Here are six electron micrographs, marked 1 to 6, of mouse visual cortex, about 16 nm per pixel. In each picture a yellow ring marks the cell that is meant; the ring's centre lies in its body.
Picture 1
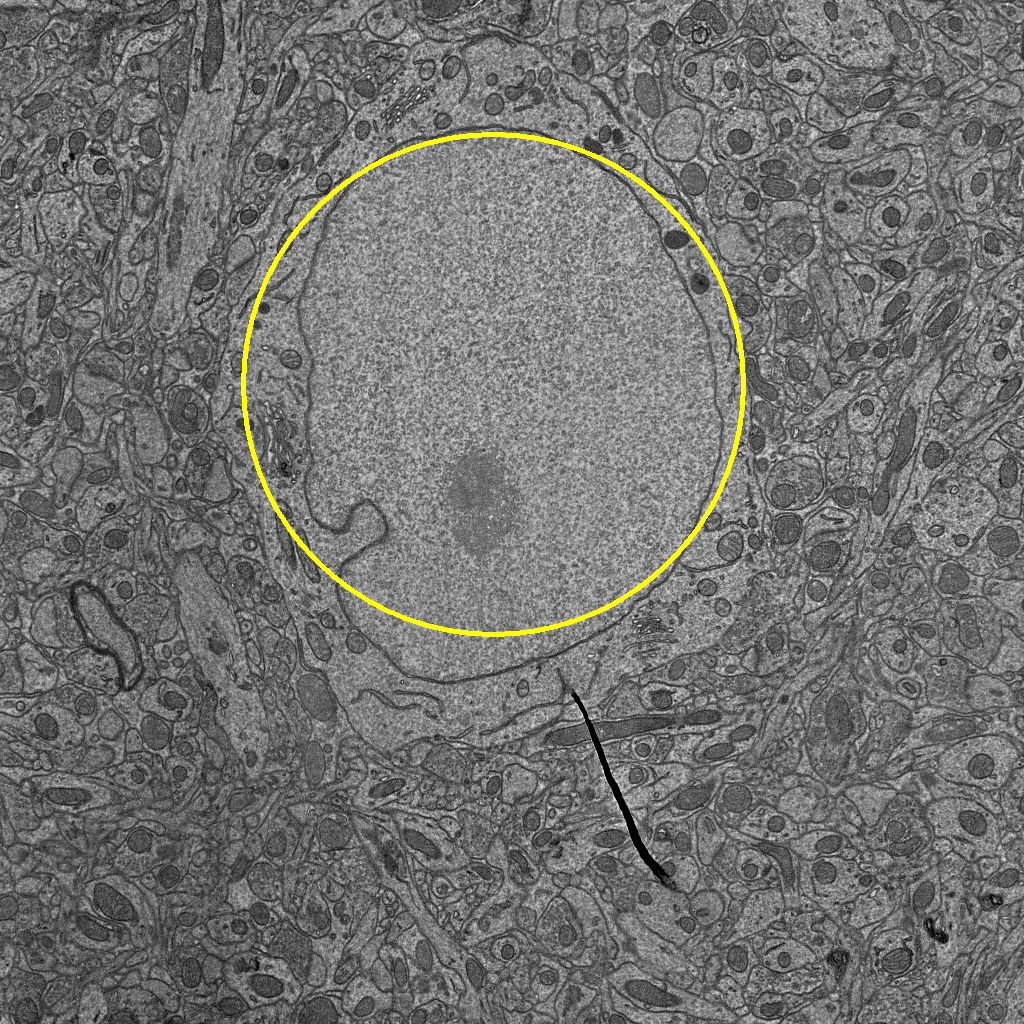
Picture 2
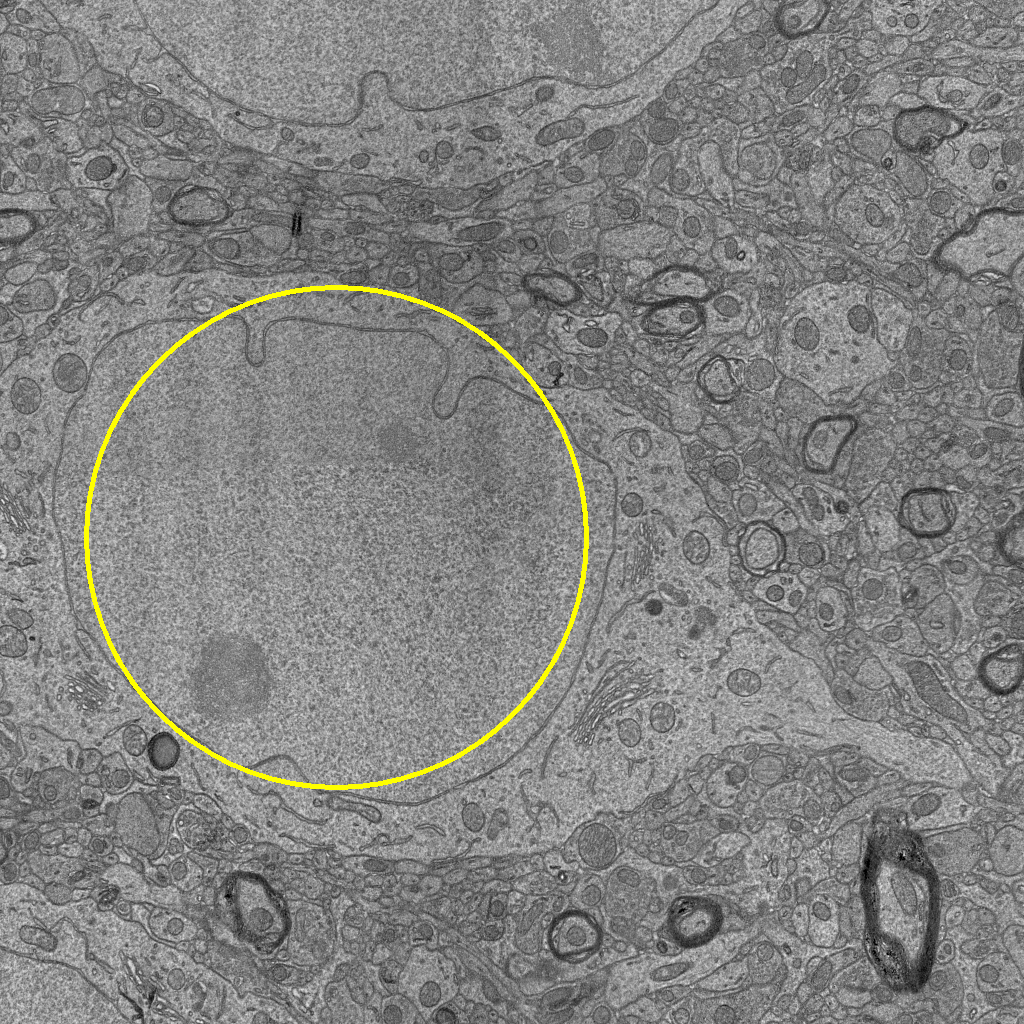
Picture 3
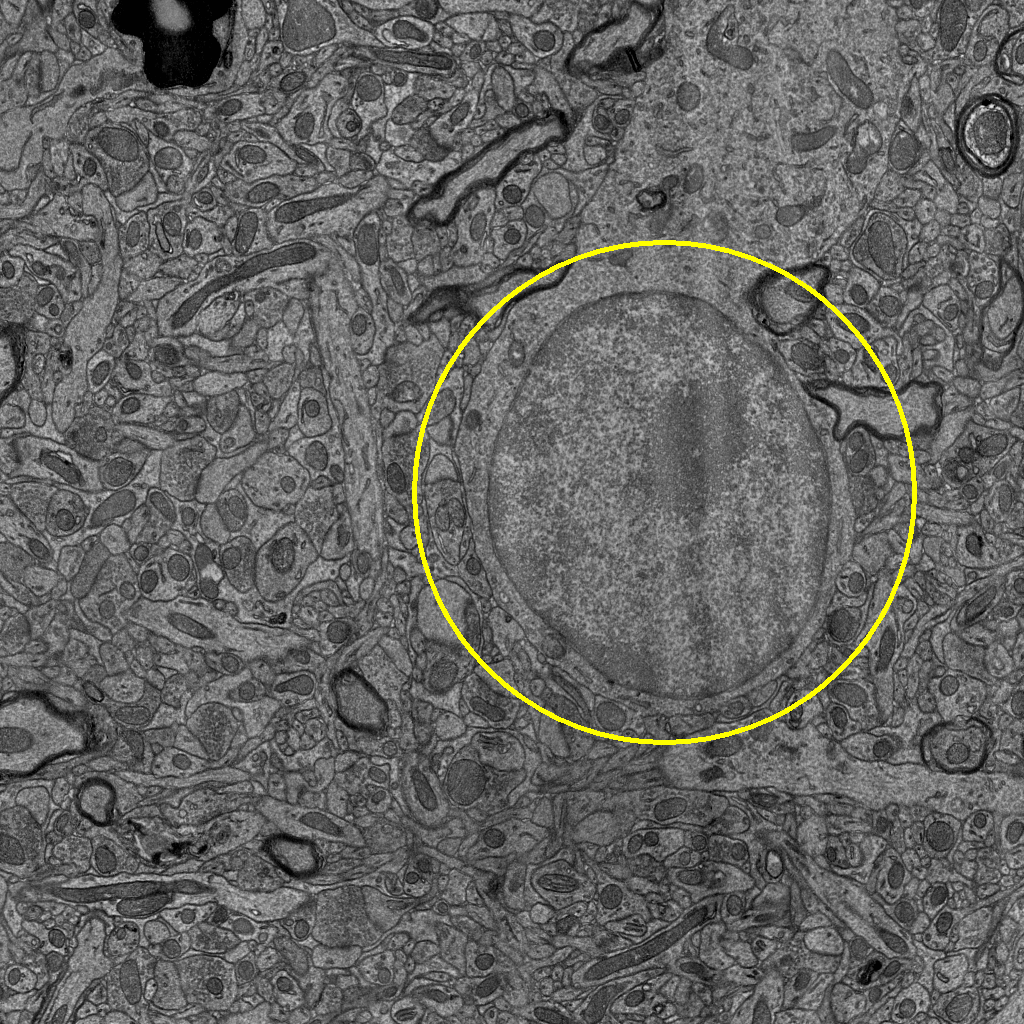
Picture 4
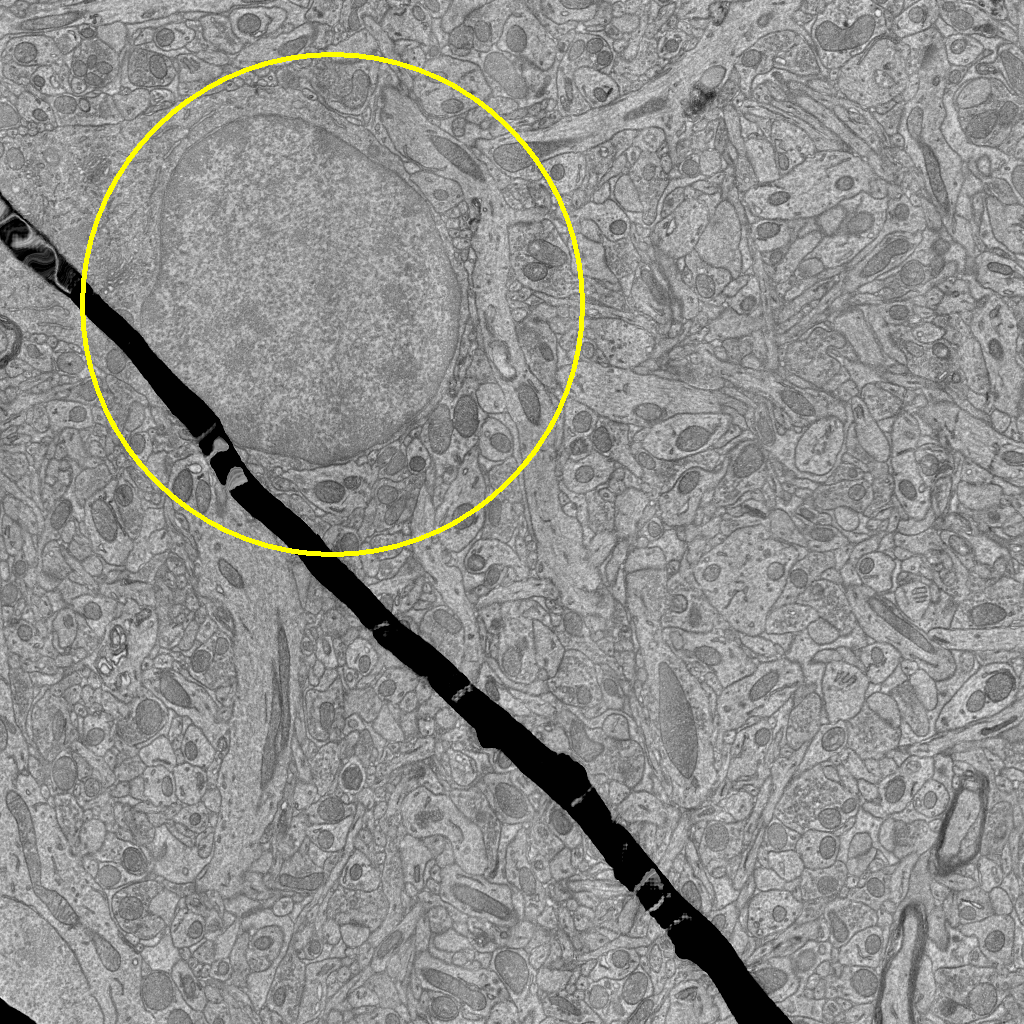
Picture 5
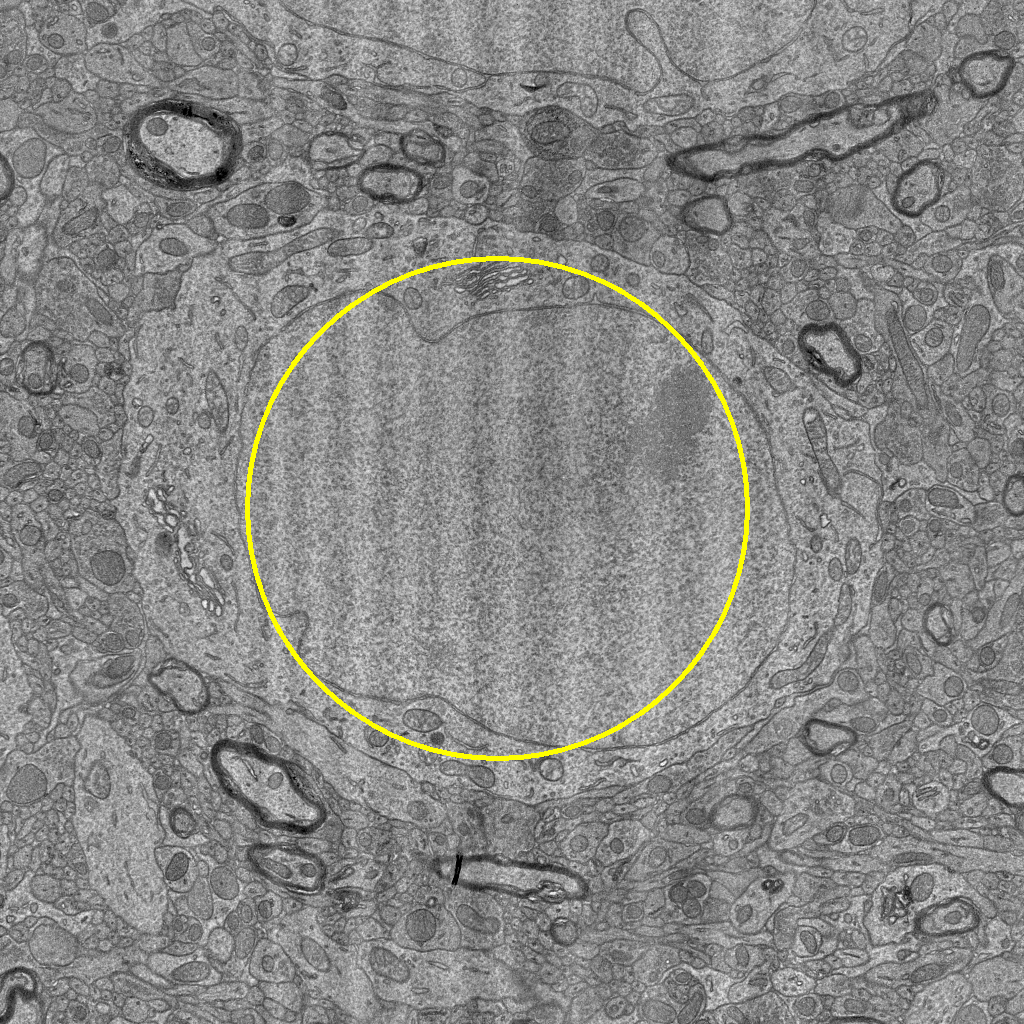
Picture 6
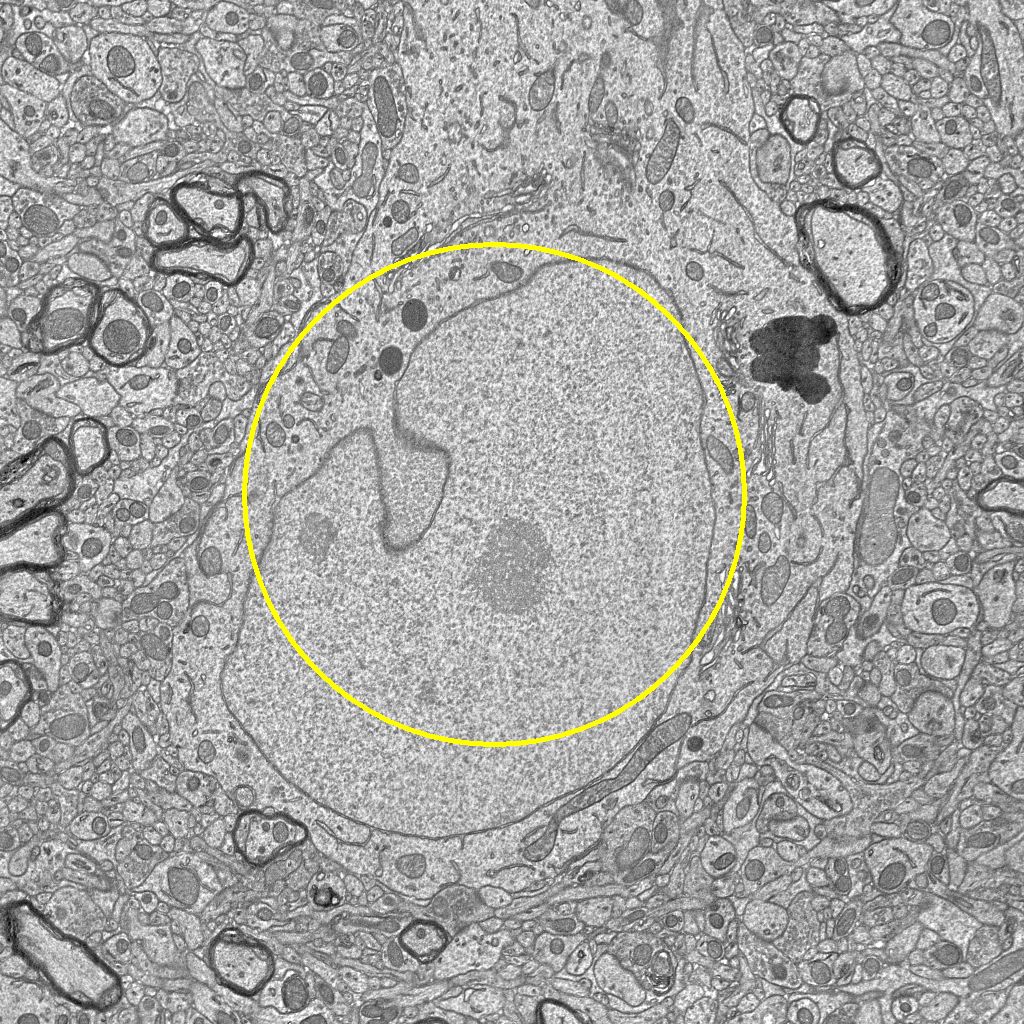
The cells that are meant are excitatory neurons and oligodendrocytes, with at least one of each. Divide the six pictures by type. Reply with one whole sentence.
Pictures 1, 2, 5 and 6 show excitatory neurons, and pictures 3 and 4 show oligodendrocytes.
